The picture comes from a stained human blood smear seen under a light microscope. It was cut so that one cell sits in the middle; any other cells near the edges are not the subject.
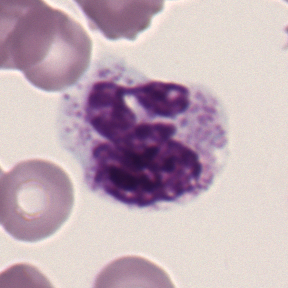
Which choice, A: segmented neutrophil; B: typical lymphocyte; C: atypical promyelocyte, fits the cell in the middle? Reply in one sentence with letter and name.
The best answer is option A, since the cell in the middle is a segmented neutrophil.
